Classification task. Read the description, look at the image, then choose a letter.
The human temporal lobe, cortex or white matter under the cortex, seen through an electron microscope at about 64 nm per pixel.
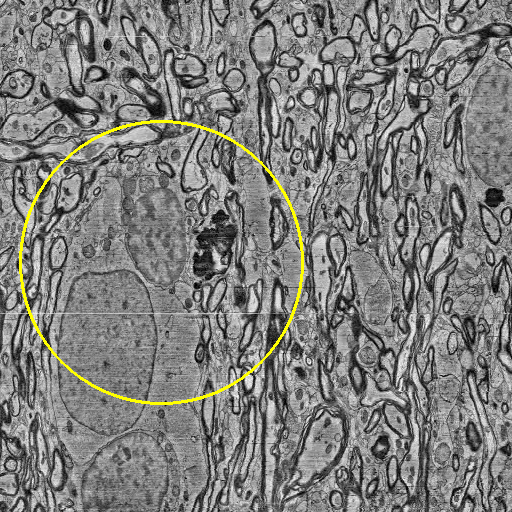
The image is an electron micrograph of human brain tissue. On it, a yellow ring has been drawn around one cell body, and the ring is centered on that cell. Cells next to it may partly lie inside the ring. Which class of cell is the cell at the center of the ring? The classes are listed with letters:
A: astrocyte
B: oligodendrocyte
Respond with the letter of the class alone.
B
